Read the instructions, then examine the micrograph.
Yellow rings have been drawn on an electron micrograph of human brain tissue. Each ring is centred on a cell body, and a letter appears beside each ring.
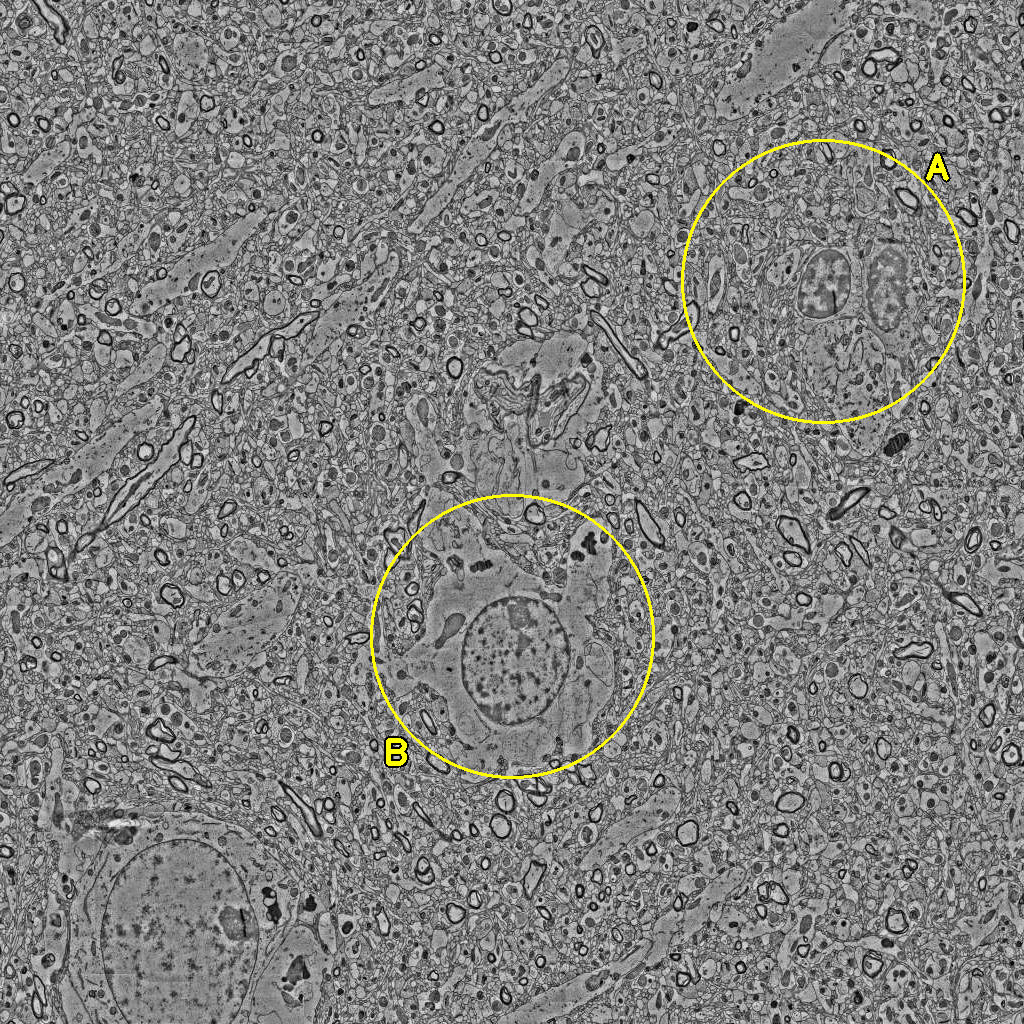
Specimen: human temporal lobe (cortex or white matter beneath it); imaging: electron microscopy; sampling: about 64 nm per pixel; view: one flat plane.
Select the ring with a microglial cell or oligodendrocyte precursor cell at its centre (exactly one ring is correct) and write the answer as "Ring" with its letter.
Ring A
